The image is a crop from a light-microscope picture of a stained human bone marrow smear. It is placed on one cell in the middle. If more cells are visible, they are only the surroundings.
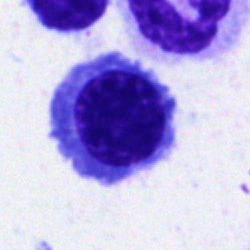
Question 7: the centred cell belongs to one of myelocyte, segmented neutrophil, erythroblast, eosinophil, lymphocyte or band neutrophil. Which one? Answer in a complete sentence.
As for the central cell, it is an erythroblast.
